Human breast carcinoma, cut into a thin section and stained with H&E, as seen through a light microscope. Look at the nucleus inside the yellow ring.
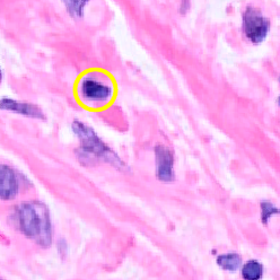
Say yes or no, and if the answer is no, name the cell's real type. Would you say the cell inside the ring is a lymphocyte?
Yes.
